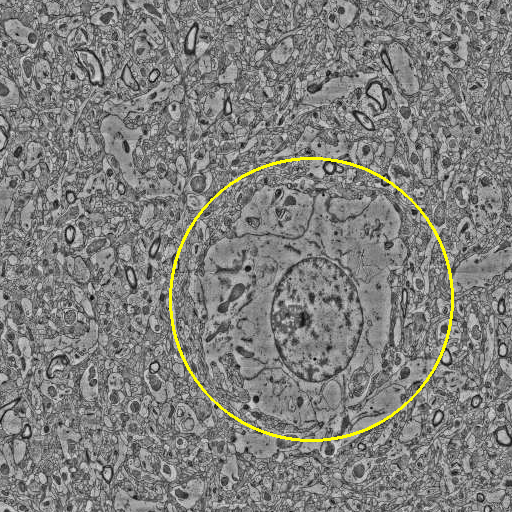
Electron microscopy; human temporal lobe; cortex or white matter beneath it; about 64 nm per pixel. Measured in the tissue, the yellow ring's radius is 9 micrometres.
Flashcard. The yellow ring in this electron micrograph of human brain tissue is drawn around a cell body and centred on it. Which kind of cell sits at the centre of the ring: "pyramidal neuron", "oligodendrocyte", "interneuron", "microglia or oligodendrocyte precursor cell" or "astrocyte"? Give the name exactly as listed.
astrocyte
